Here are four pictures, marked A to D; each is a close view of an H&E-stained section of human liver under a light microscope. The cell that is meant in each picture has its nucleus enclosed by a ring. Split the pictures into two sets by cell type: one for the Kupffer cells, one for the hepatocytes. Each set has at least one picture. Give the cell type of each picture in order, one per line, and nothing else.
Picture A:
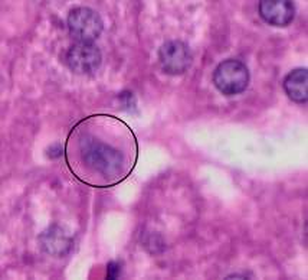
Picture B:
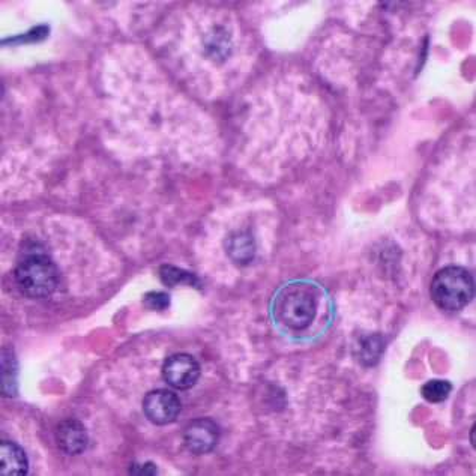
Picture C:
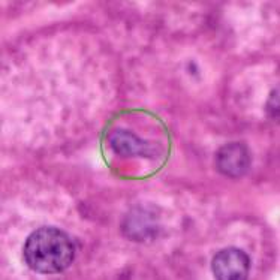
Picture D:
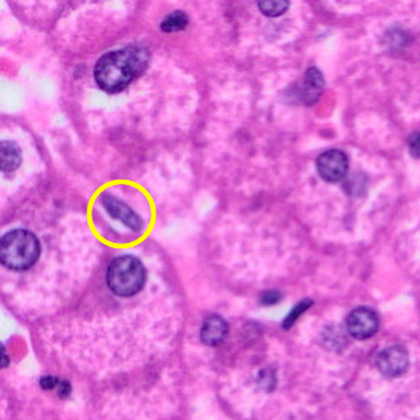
Kupffer cell
hepatocyte
Kupffer cell
Kupffer cell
